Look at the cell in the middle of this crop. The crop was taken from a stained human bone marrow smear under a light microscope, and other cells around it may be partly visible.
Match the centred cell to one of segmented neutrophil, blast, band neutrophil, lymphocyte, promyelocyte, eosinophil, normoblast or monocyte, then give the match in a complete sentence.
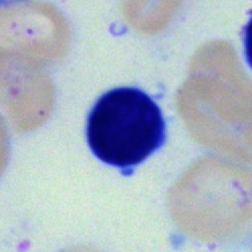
As for the cell in the middle, it is a lymphocyte.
